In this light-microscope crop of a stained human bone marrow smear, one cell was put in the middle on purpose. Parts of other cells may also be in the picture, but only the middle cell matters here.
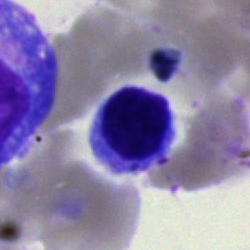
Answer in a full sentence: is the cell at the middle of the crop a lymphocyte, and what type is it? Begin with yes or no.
Yes, the centred cell is categorised as a lymphocyte.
